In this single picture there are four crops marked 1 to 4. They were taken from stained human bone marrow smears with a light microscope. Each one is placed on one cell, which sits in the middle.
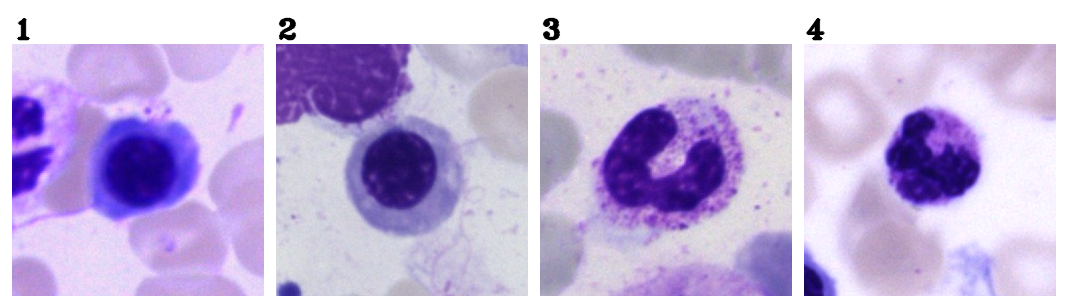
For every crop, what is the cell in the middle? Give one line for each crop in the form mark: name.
1: erythroblast
2: erythroblast
3: band neutrophil
4: segmented neutrophil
